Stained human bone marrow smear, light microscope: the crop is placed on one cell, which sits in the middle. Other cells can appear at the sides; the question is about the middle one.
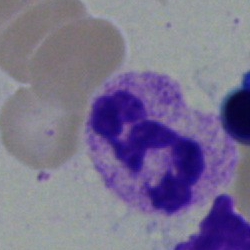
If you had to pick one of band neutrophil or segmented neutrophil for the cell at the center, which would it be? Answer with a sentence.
The cell shown in the center of this light-microscope crop is a segmented neutrophil.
